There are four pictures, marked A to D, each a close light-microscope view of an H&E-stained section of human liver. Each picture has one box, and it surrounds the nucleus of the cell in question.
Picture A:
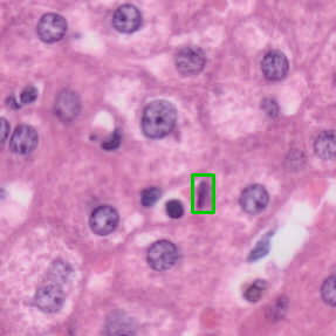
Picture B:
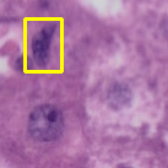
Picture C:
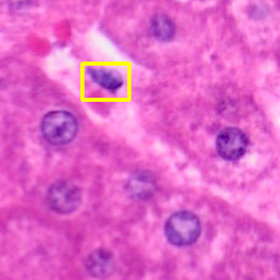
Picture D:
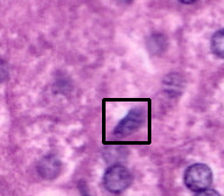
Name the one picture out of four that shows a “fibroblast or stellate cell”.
B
